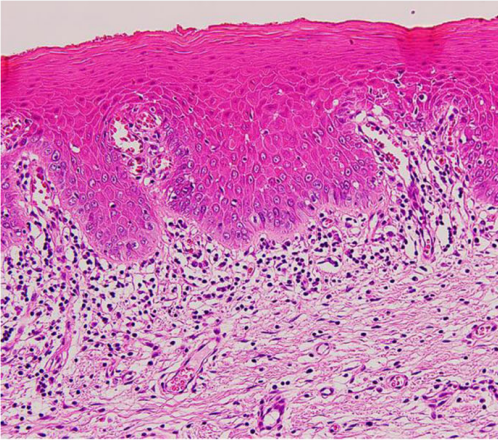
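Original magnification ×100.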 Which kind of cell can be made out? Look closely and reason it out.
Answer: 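Numerous small cells with dark round nuclei crowd the connective tissue beneath the epithelium. The cells are densest just below the epithelial base and thin out deeper down. The answer: inflammatory cells.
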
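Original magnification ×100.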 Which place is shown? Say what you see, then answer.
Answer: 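A thick stratified squamous epithelium lies on top. The dark-nucleated cells lie in the paler connective tissue below it.
Hence: subepithelial stroma.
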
